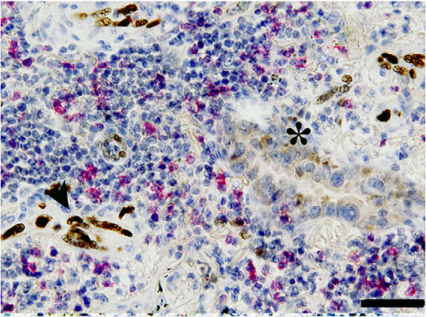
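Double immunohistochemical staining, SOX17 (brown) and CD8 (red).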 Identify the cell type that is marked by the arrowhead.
tumor endothelial cells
